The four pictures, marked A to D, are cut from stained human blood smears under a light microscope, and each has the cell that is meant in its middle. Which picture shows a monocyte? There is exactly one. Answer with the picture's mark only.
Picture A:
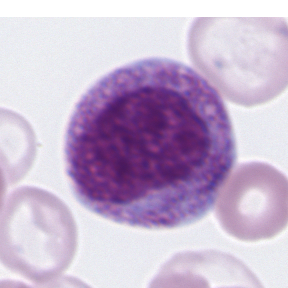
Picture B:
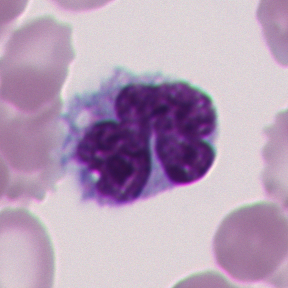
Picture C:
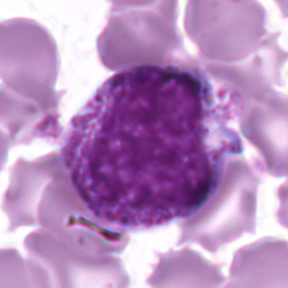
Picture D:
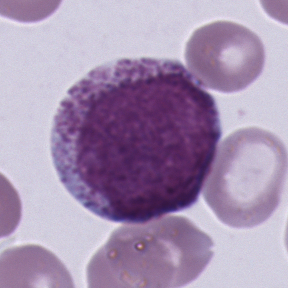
B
